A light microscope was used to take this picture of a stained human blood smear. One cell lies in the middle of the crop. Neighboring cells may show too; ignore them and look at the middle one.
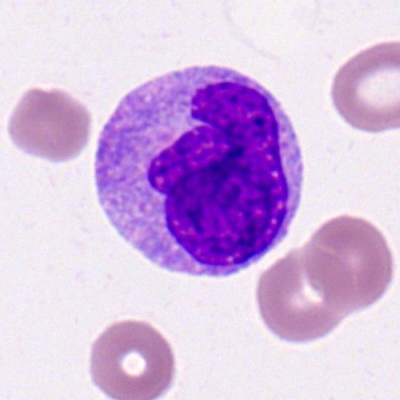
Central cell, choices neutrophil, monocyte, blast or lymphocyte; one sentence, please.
The middle of this crop is occupied by a monocyte.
